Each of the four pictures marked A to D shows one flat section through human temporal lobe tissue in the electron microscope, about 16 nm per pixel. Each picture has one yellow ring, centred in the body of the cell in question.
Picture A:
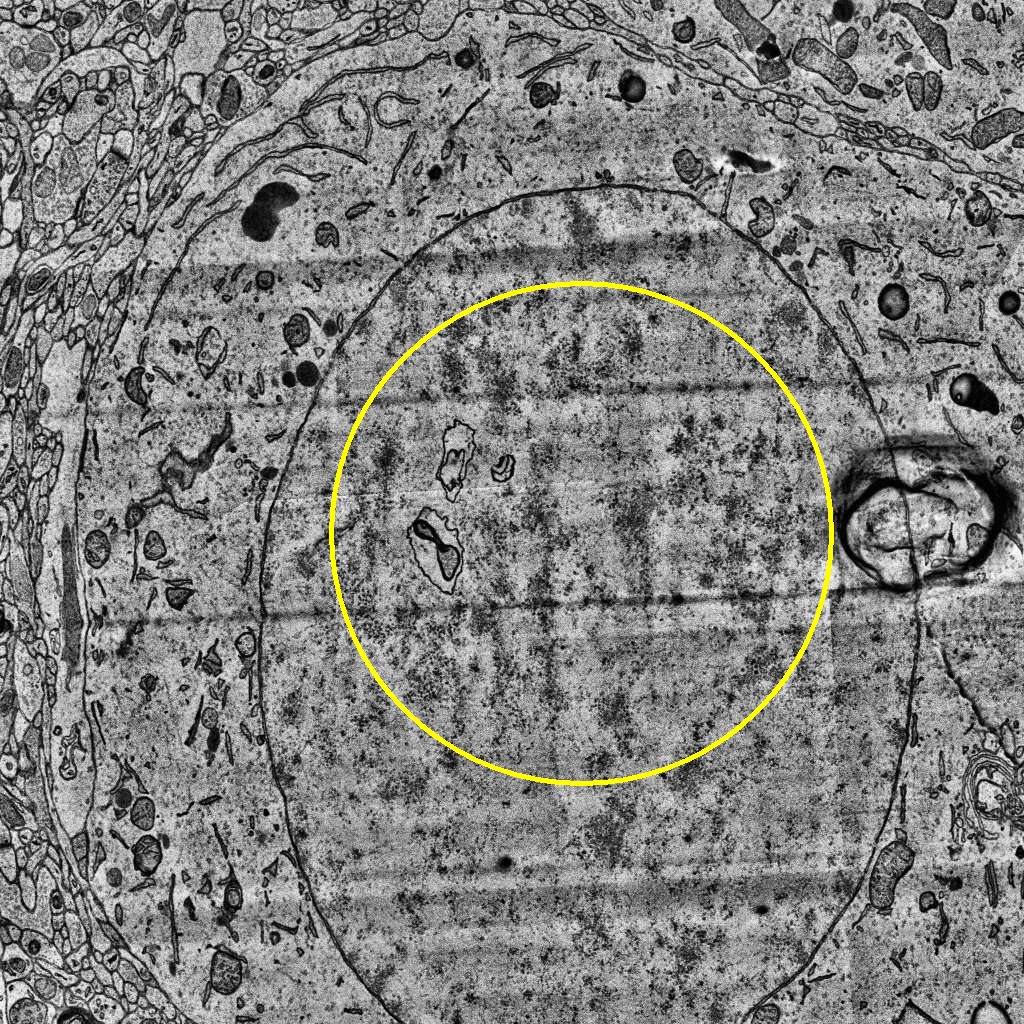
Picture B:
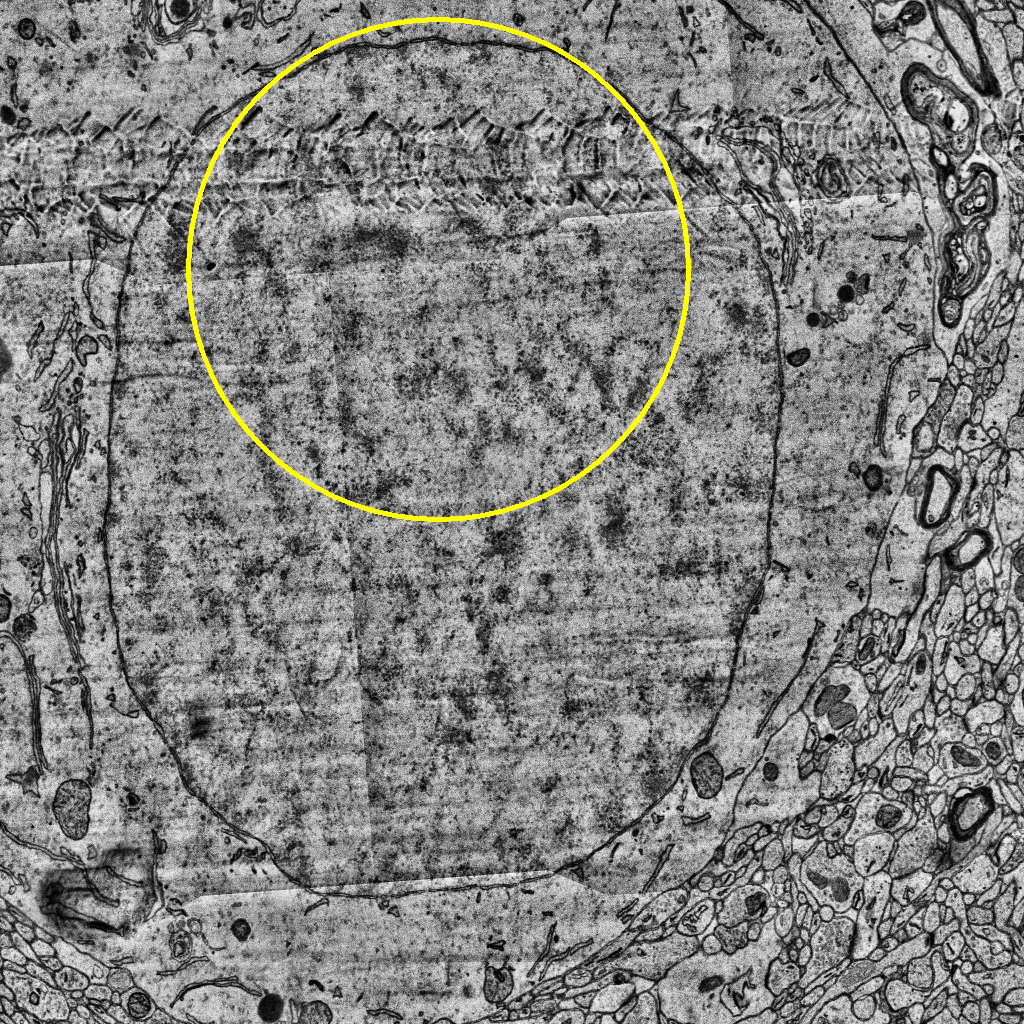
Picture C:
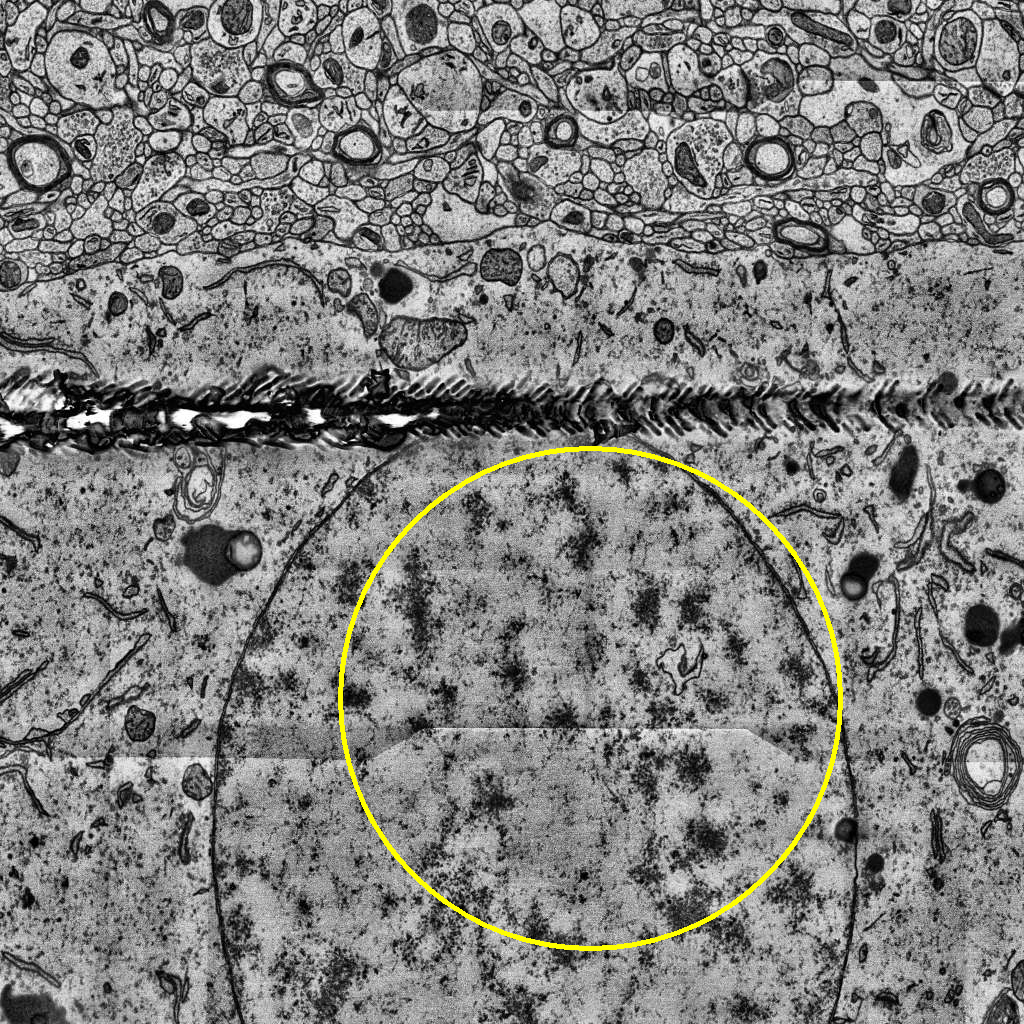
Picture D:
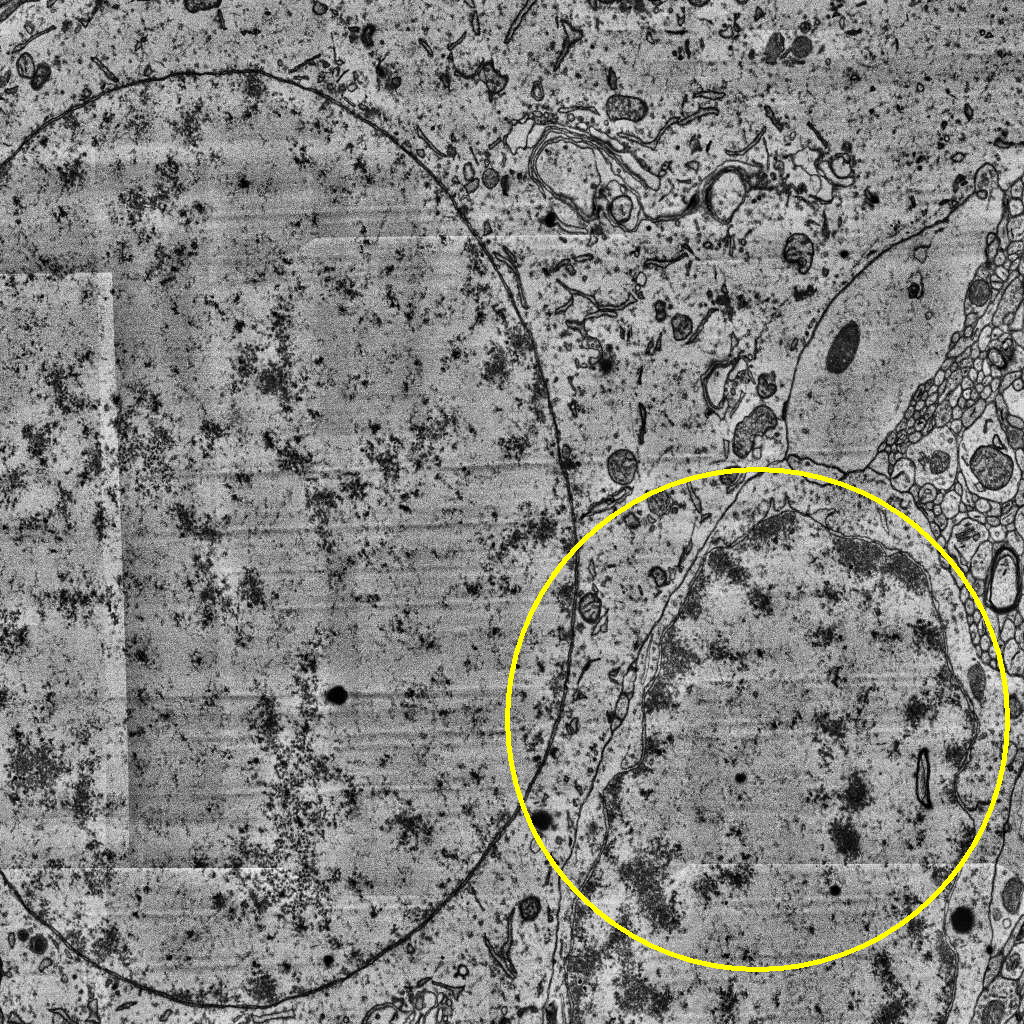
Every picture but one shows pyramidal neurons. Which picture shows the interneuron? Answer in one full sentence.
It is picture D that shows the interneuron.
